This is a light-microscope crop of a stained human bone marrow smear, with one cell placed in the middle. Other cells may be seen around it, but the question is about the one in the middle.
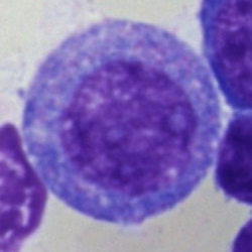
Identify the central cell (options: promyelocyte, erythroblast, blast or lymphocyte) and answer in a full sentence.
The middle of this crop holds a promyelocyte.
